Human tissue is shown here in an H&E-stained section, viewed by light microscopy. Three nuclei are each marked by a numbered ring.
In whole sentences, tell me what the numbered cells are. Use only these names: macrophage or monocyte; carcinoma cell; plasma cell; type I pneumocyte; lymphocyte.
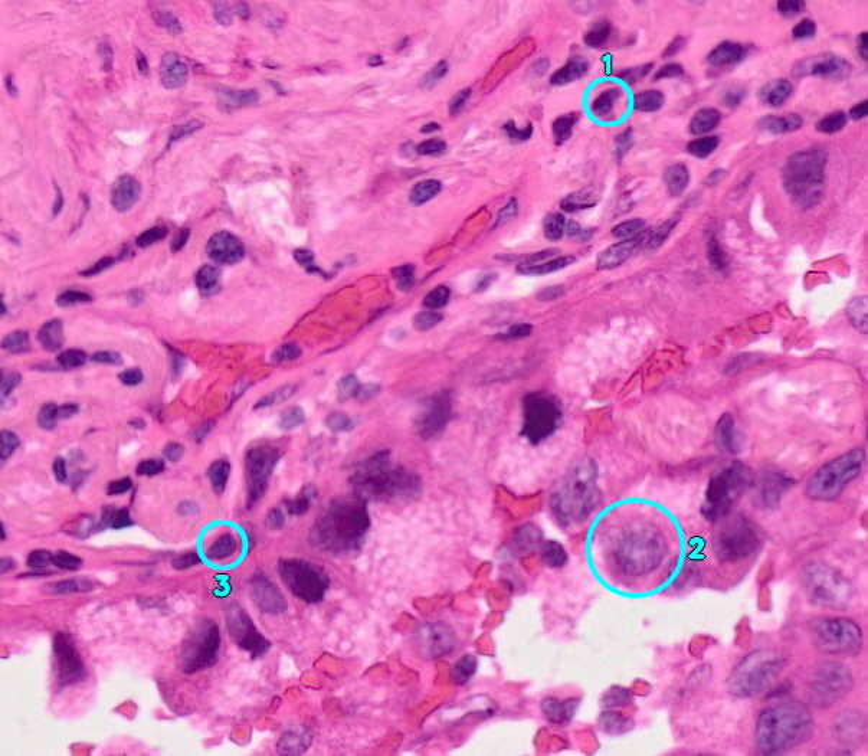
Cell 1 is a lymphocyte, cell 2 is a carcinoma cell and cell 3 is a lymphocyte.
